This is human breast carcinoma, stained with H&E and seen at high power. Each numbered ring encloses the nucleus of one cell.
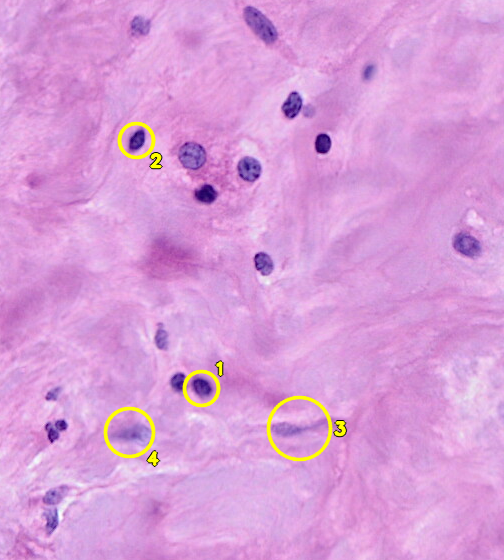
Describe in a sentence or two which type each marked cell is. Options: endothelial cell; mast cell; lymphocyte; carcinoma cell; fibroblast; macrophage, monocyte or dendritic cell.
Cell 1 is a lymphocyte, cell 2 is a lymphocyte, cell 3 is a fibroblast and cell 4 is a fibroblast.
